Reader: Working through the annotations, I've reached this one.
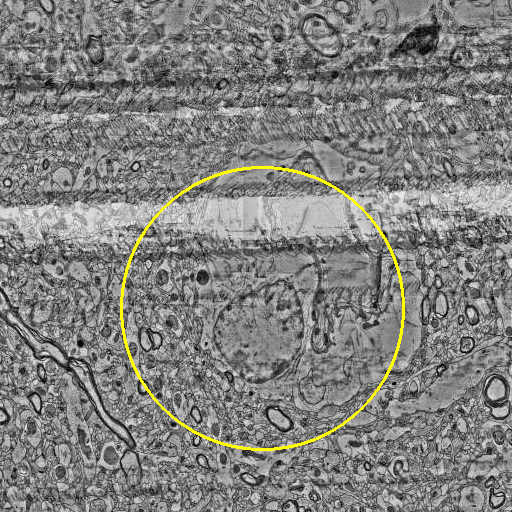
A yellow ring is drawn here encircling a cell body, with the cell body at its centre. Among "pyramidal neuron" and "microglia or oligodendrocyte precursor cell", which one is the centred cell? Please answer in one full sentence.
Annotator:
The cell body at the centre of the yellow ring in this image belongs to a microglial cell or oligodendrocyte precursor cell.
